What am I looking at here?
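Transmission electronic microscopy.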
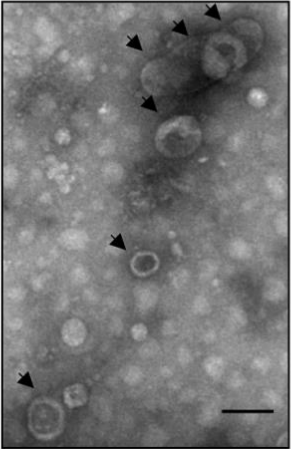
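The arrows point to rounded, often cup-shaped vesicles, each outlined by a thin pale rim of membrane around a somewhat darker centre. Several of them lie together in a loose cluster towards the upper right, touching or overlapping one another, while others lie singly lower down. Between them are scattered many fainter, pale round spots that are less sharply outlined than the marked vesicles.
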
